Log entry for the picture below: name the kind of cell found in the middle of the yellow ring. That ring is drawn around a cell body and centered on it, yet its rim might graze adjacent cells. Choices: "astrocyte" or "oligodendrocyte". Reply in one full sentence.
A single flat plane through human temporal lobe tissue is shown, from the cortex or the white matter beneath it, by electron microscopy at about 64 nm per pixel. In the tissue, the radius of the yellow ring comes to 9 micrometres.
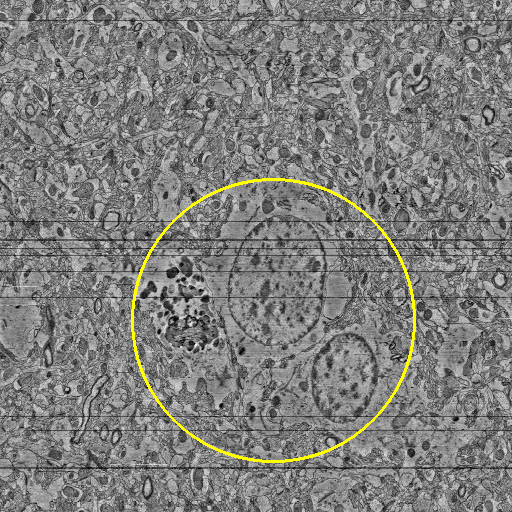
The cell in the middle of the yellow ring in this picture is an astrocyte.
